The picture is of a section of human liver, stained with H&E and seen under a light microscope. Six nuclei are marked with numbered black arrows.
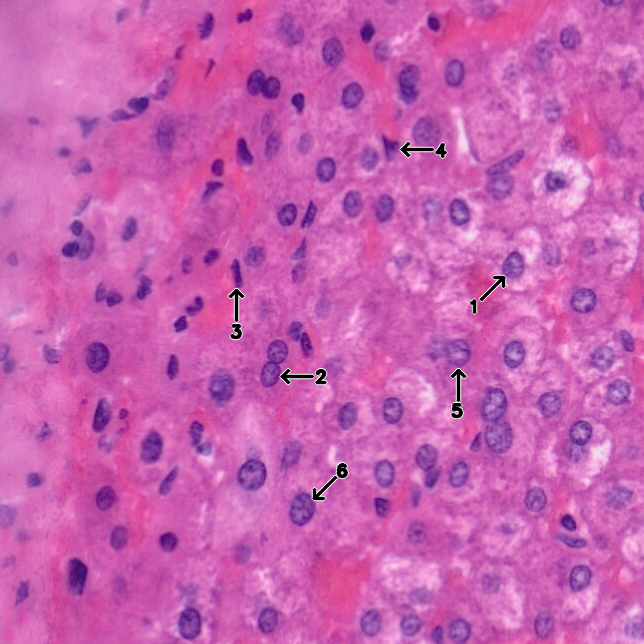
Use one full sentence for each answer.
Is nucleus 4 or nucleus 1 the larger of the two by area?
The larger nucleus is 1, at roughly 1.5 times the area of 4.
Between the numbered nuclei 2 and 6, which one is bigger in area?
Of the two, number 6 is bigger and takes up about 1.5 times the area of number 2.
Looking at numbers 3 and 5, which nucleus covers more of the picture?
Nucleus 5 covers more area, about 2.5 times as much as nucleus 3.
